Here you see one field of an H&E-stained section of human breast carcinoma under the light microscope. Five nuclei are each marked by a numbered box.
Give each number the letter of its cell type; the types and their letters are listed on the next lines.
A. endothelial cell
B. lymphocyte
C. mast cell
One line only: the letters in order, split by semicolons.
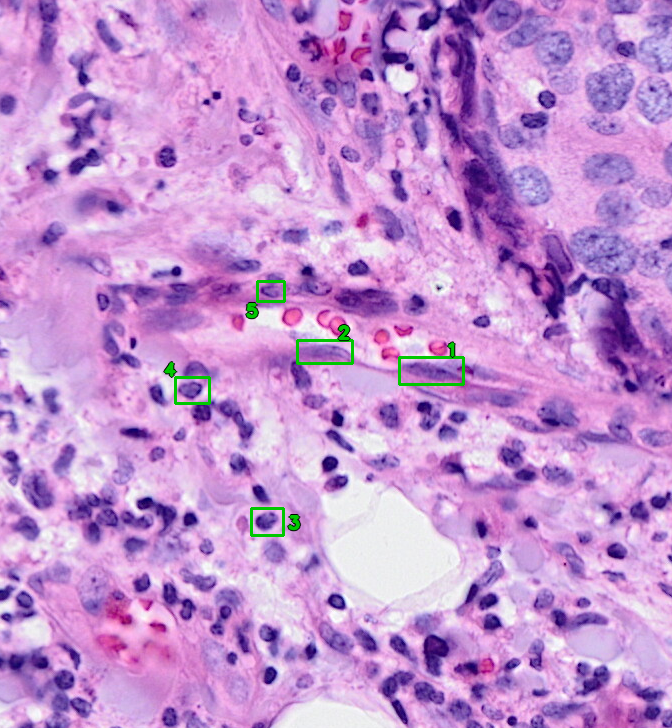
A; A; B; B; A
